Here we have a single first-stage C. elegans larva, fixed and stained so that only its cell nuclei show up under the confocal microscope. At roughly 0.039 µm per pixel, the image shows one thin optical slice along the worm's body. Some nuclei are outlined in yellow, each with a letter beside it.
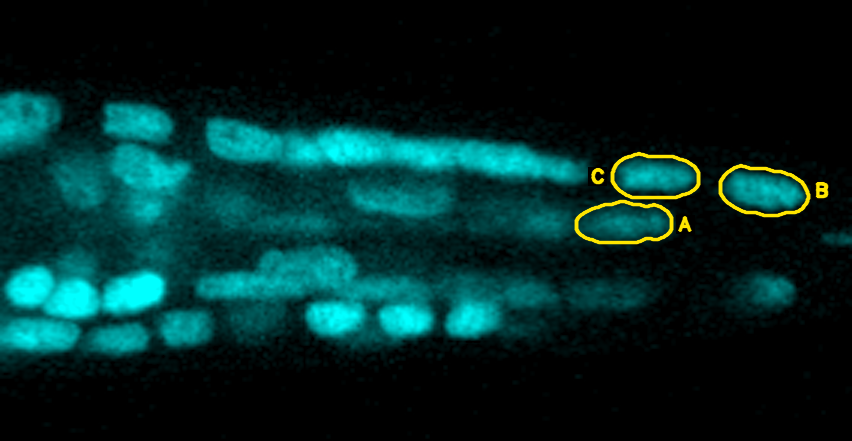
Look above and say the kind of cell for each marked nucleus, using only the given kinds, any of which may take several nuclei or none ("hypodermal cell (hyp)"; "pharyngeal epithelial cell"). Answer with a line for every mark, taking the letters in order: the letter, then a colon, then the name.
A: pharyngeal epithelial cell
B: hypodermal cell (hyp)
C: hypodermal cell (hyp)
